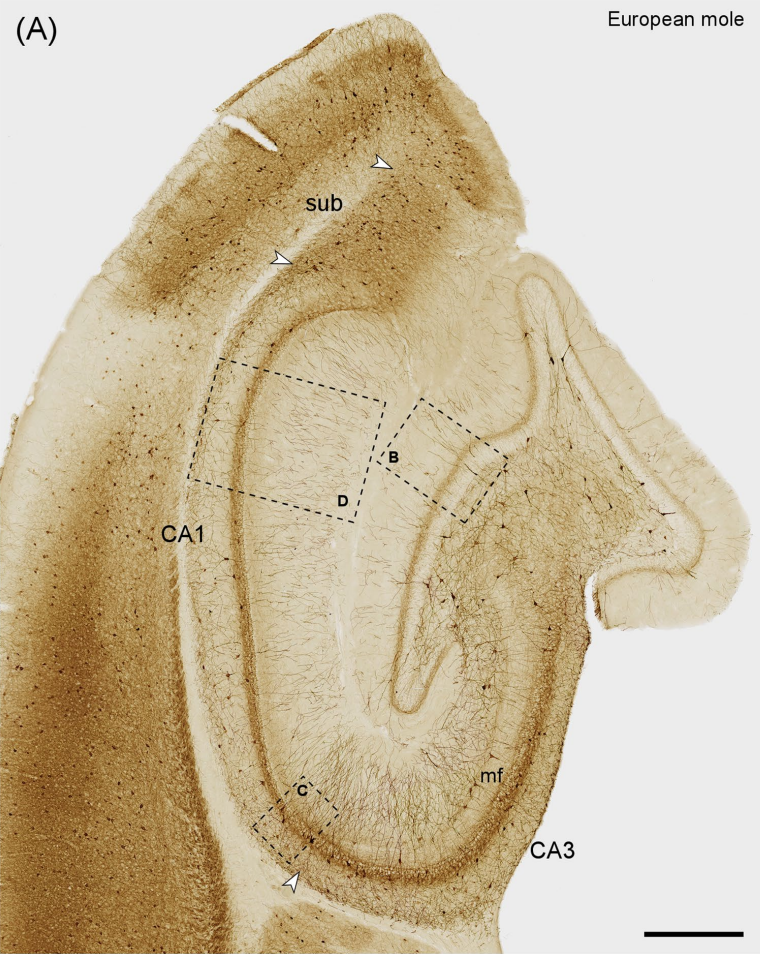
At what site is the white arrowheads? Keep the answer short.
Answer: subfield boundaries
